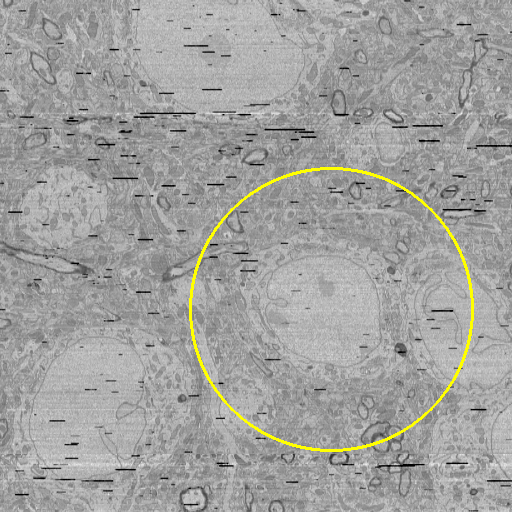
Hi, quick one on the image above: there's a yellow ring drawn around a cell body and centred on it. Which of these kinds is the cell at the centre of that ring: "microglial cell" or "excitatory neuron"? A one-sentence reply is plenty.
The cell at the centre of the ring is an excitatory neuron.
